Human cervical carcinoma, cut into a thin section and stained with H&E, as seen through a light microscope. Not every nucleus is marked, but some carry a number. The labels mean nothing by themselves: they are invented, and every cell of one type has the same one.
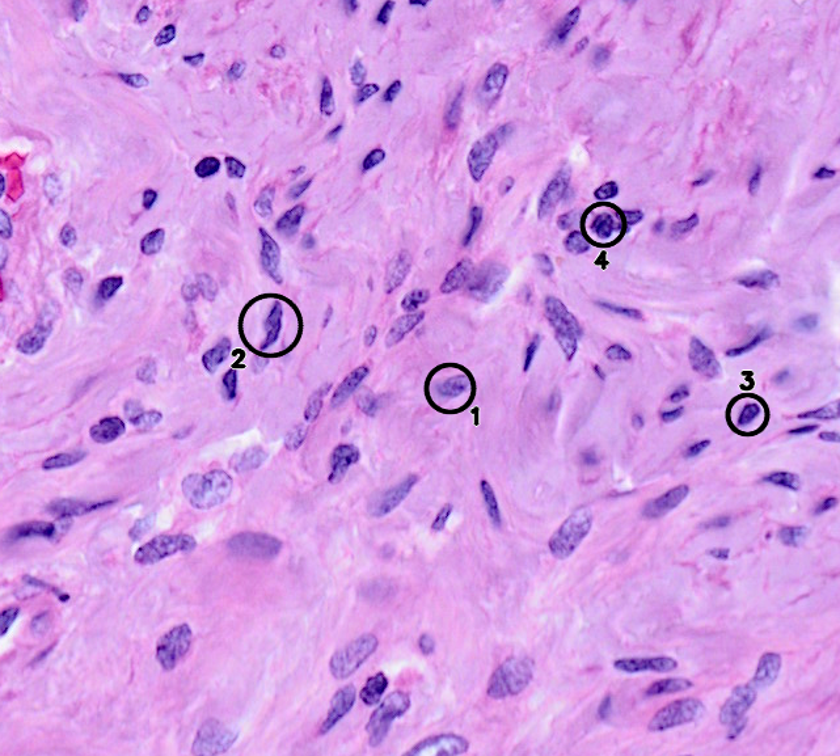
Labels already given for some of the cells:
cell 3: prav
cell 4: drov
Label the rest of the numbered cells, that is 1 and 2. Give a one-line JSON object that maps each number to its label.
{"1": "prav", "2": "prav"}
